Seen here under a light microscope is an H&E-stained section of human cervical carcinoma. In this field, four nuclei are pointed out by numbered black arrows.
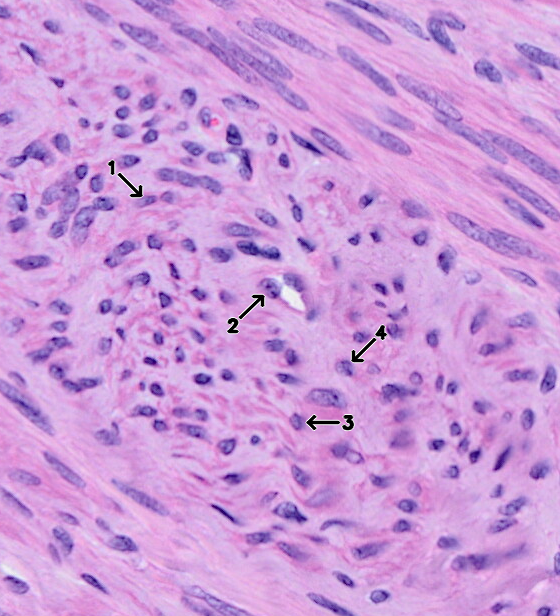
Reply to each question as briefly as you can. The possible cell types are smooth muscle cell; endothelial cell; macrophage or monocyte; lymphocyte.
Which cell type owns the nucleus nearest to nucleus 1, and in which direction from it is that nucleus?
a smooth muscle cell; to the right of nucleus 1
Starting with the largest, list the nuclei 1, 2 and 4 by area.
2, 4, 1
